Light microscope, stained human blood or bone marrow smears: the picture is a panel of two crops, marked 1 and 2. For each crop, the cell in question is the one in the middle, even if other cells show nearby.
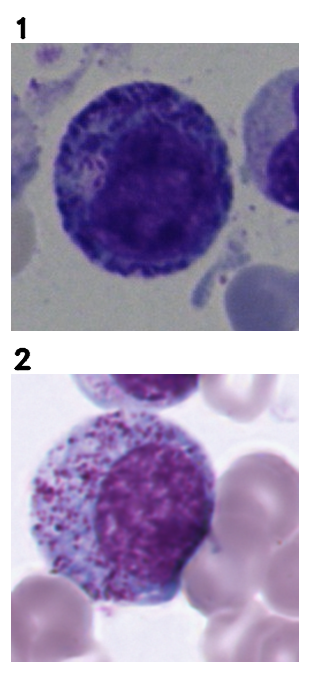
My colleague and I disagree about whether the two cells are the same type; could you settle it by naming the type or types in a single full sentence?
Yes, the cells that the two crops centre on are promyelocytes.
